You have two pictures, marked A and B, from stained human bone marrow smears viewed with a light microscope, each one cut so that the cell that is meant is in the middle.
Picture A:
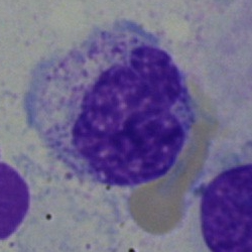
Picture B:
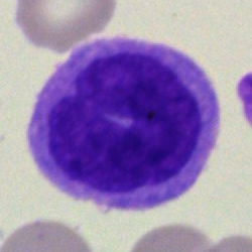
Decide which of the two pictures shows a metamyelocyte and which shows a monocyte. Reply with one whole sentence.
Picture A is of a metamyelocyte, and picture B is of a monocyte.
